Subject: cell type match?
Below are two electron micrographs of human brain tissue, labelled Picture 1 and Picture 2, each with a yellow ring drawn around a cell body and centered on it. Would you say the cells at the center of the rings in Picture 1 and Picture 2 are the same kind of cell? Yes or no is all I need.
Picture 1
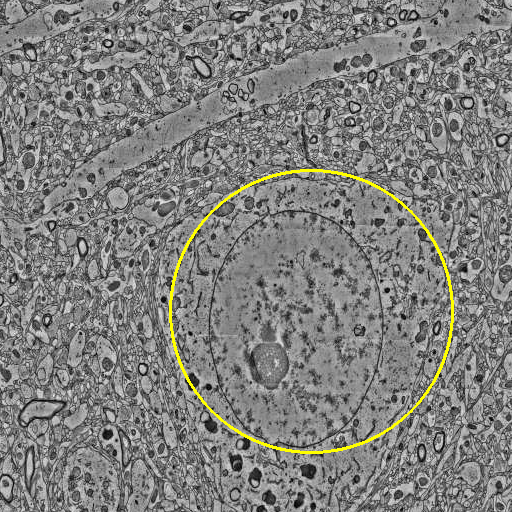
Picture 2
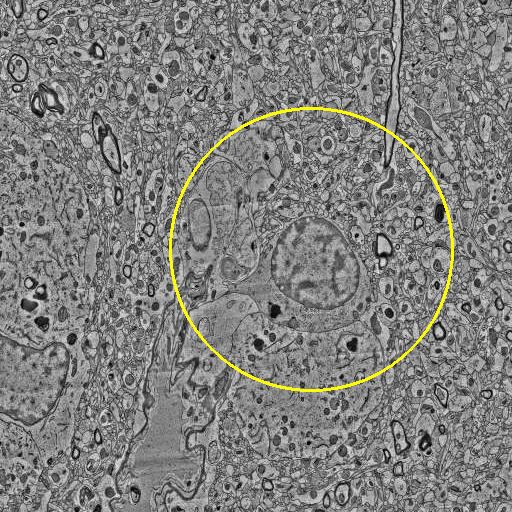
no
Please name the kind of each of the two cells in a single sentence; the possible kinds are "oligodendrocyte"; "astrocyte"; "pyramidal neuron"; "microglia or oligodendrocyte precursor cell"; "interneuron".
In the first picture the ring is centred on a pyramidal neuron, and in the second on an oligodendrocyte.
